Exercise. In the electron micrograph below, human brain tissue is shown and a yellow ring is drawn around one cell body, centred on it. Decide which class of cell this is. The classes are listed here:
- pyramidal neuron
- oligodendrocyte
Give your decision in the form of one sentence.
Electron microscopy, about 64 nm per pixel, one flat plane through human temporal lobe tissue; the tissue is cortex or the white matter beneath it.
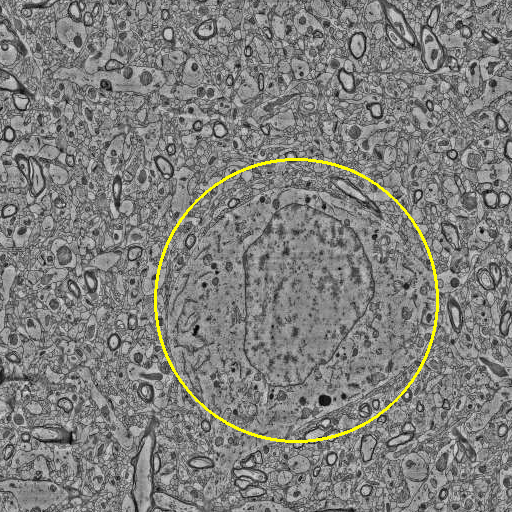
The cell body marked by the ring belongs to a pyramidal neuron.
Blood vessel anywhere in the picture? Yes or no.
No, none appears.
